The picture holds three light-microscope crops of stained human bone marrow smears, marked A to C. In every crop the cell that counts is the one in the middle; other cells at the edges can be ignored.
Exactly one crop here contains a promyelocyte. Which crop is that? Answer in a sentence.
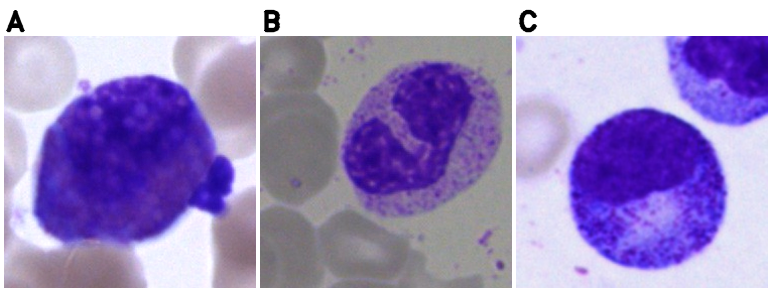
The crop in which a promyelocyte is shown is crop C.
